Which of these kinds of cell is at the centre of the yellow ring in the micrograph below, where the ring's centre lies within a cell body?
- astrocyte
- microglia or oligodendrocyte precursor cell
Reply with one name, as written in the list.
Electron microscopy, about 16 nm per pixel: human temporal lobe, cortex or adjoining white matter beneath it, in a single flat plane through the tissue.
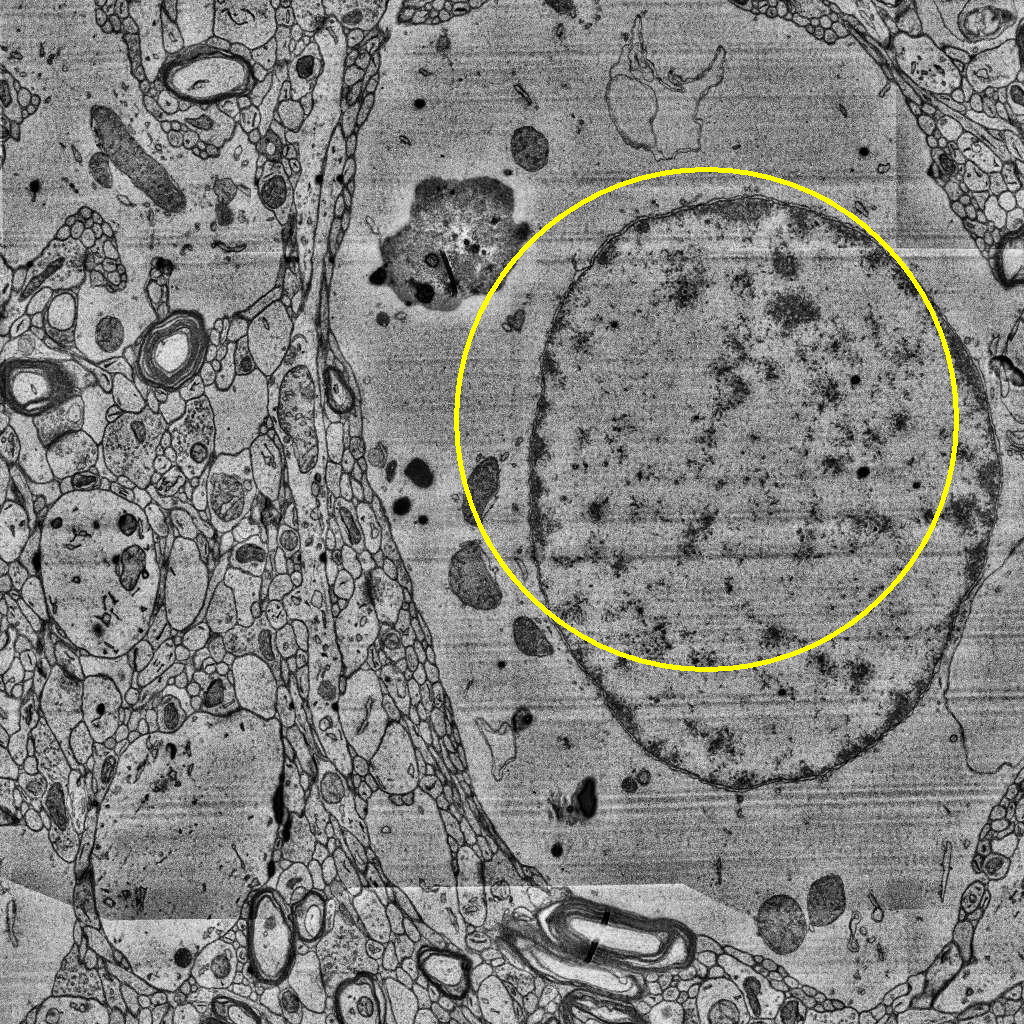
astrocyte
